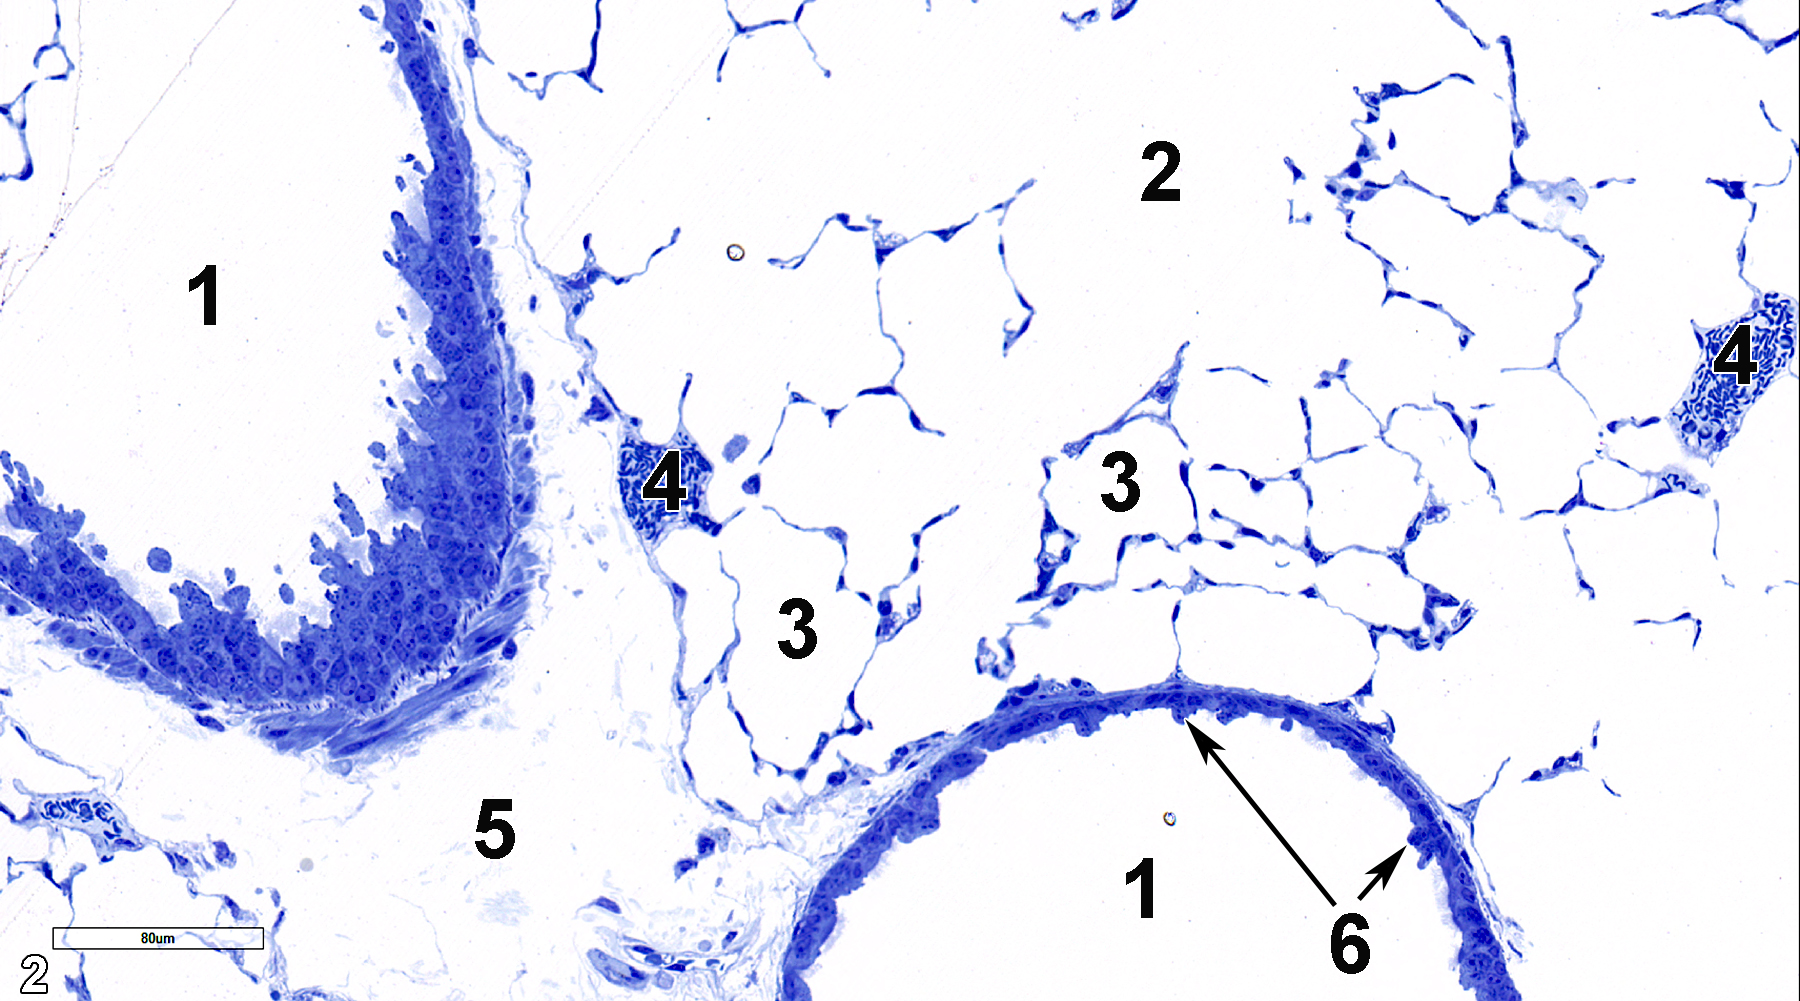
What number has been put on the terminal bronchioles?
Number 1.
